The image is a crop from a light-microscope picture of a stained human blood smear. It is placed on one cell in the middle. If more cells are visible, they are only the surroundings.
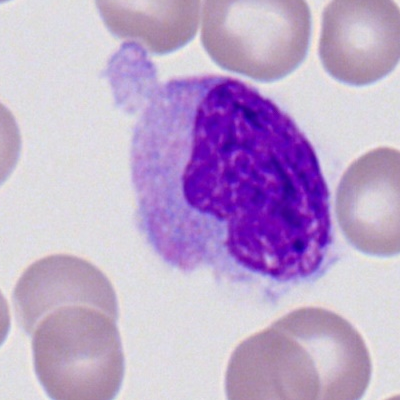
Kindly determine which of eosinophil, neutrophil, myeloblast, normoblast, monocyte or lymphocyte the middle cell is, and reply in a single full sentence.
In this crop, the cell at the very middle is a monocyte.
